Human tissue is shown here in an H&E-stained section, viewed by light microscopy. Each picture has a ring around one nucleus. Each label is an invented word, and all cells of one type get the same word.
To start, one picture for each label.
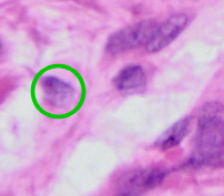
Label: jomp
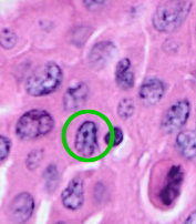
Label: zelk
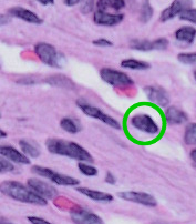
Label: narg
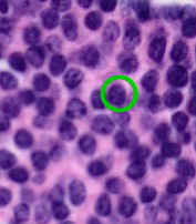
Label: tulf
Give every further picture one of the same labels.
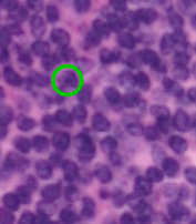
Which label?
tulf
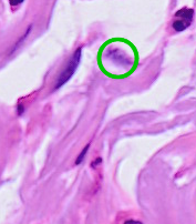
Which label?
jomp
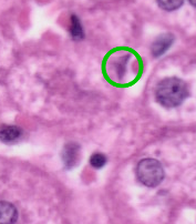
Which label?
narg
